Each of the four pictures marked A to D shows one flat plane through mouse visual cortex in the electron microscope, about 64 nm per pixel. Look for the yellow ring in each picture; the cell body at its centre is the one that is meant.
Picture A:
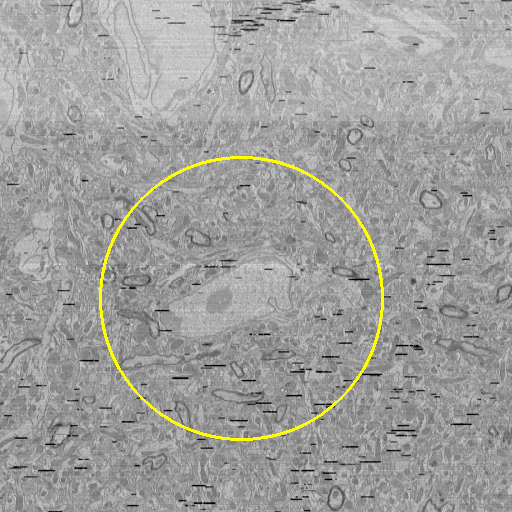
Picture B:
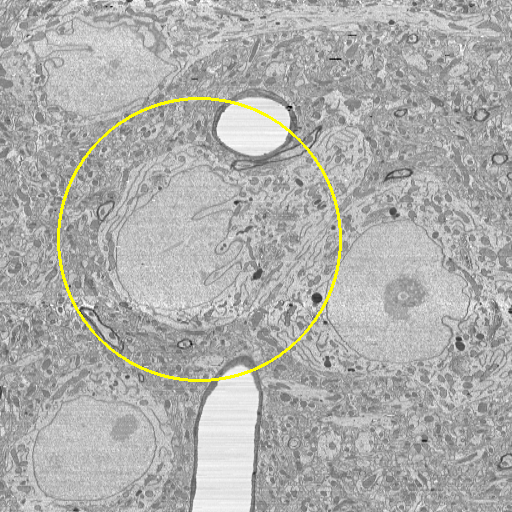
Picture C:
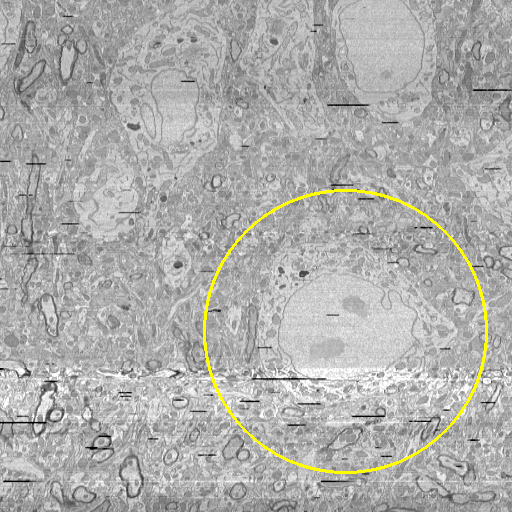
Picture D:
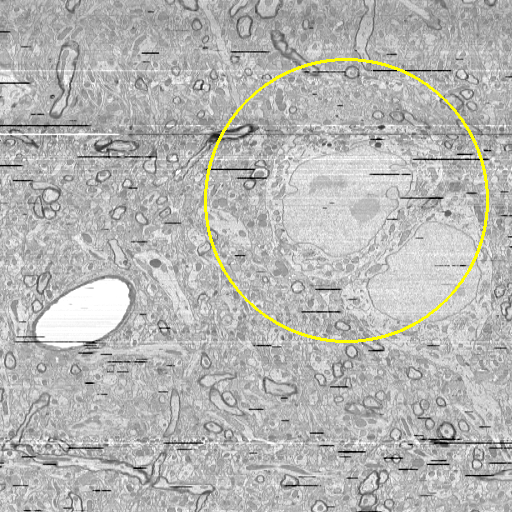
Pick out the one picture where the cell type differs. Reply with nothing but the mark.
A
